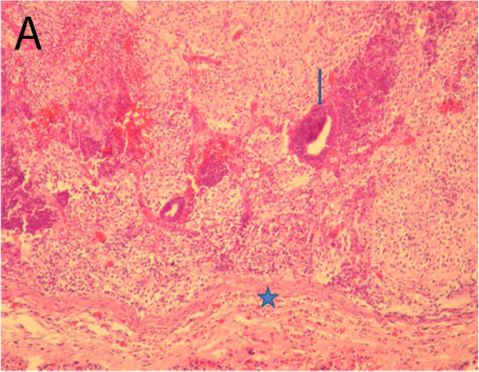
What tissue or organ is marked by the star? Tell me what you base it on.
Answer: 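Mesenchymal tissue. The star lies in a pale pink band at the bottom of the section. The band is made of loose fibres. The band has sparse, elongated nuclei.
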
